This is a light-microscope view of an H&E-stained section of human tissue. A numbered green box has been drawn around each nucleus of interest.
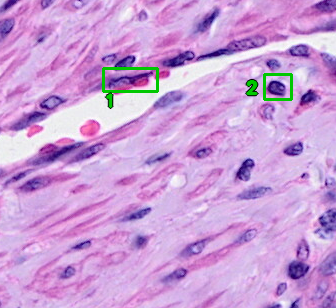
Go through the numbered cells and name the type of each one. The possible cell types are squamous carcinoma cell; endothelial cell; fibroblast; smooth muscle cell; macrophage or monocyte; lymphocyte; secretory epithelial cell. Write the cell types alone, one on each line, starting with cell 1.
endothelial cell
lymphocyte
